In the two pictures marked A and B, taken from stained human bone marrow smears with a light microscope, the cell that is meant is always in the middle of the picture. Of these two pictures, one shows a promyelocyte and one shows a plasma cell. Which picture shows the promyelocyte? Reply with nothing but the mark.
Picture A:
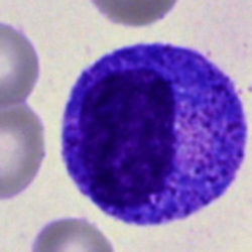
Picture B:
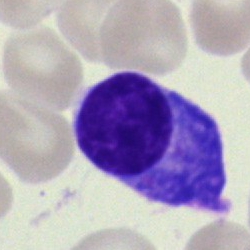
A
